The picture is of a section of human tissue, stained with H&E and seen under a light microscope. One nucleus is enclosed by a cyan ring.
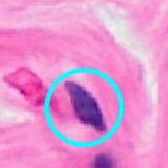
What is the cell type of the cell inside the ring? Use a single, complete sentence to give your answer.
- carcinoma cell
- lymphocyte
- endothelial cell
Within this tissue, the cell inside the ring is an endothelial cell.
